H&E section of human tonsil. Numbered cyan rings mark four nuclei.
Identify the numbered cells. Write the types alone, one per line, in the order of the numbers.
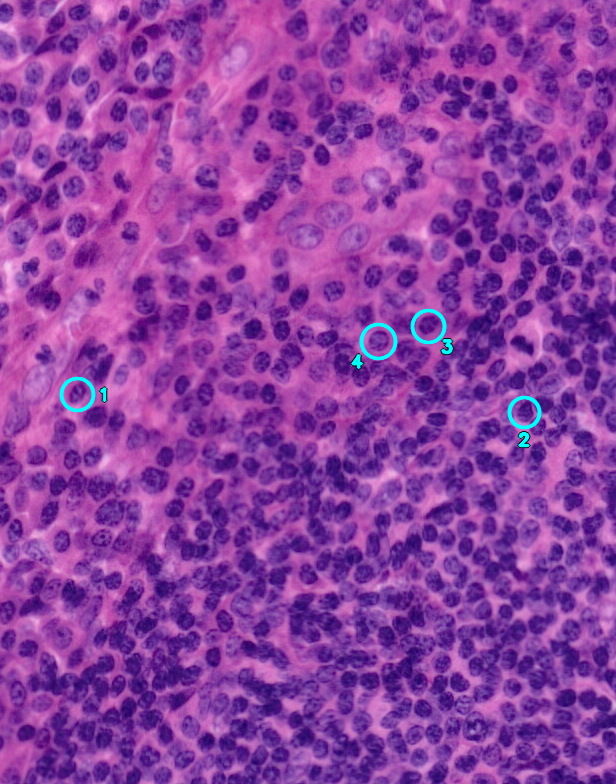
plasma cell
small lymphocyte
plasma cell
plasma cell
